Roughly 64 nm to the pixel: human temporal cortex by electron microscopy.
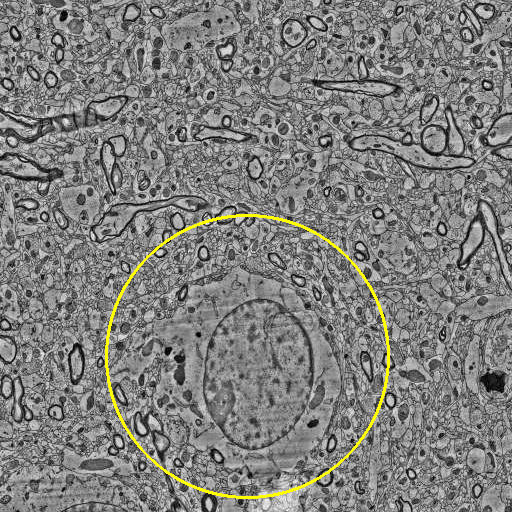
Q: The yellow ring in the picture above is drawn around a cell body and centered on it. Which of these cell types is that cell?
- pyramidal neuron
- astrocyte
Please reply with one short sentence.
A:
The cell body at the ring's center belongs to an astrocyte.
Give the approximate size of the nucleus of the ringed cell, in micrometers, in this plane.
In this plane the nucleus is about 10 micrometres by 7.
